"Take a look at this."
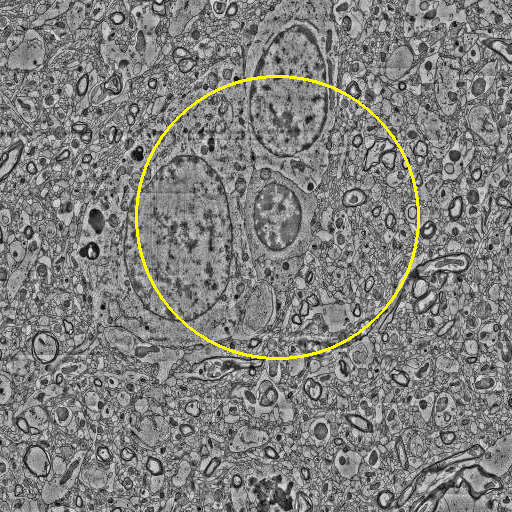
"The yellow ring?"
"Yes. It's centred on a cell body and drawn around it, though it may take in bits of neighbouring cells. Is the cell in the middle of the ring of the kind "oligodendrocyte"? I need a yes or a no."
Yes, it is of the kind asked about.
